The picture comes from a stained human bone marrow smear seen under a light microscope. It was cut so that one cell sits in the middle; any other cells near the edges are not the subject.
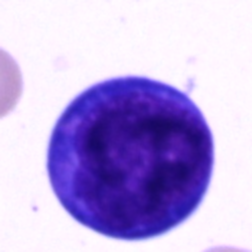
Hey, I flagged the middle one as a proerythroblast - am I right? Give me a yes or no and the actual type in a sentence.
Yes, the cell here in the middle is a proerythroblast.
